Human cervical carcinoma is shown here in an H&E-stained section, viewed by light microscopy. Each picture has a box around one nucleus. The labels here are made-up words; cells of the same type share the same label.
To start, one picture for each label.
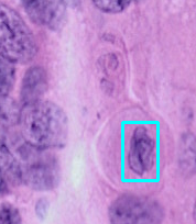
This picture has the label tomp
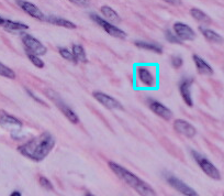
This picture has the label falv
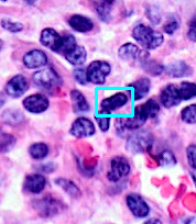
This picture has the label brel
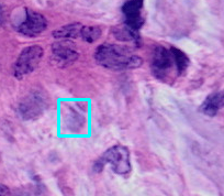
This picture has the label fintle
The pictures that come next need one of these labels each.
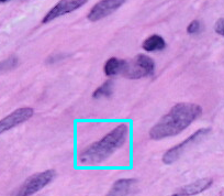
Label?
fintle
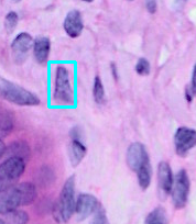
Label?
fintle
